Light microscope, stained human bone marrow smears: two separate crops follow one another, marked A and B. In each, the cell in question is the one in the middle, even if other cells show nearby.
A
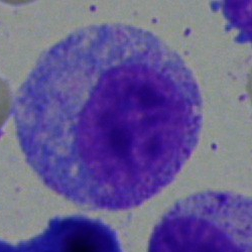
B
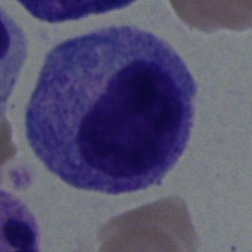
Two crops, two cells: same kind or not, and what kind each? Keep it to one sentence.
Yes, both crops show myelocytes as their central cells.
